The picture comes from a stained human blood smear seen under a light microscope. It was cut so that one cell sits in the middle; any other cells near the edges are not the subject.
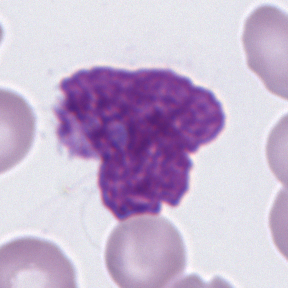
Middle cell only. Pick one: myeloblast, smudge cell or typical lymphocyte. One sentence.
The centrally placed cell is classified as a smudge cell.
